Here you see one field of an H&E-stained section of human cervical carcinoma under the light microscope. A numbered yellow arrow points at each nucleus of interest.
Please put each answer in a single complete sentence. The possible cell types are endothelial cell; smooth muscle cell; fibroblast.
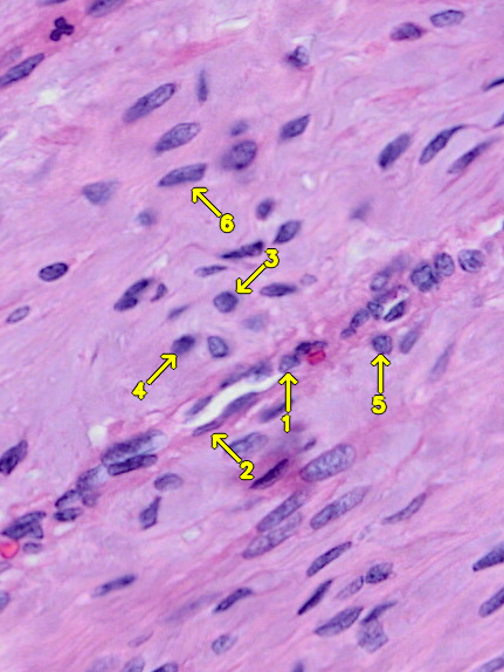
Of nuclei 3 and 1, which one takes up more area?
Of the two, number 3 is bigger and takes up about 1.5 times the area of number 1.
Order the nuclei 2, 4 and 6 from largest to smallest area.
The nuclei rank 6, 4, 2, from largest to smallest.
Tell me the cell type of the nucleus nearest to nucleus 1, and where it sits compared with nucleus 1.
The closest nucleus belongs to an endothelial cell and sits above and to the right of nucleus 1.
